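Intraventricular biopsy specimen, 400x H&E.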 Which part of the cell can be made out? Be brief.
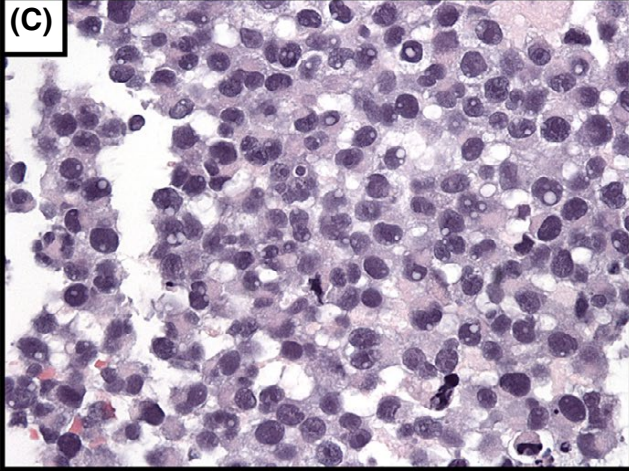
intranuclear pseudoinclusions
